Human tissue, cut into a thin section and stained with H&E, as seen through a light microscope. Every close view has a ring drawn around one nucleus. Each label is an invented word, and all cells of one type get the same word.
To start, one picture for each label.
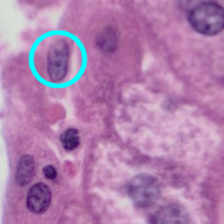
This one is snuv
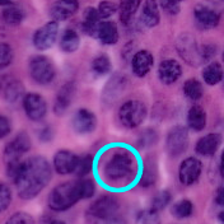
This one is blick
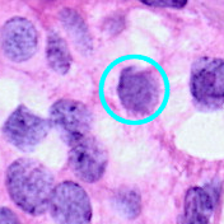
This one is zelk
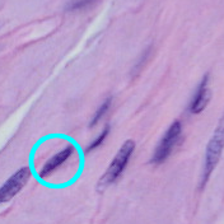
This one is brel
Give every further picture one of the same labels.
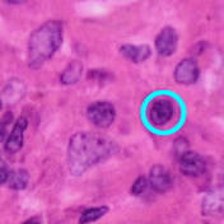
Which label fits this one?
blick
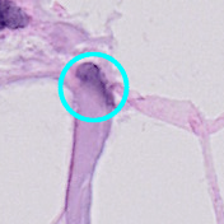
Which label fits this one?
brel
